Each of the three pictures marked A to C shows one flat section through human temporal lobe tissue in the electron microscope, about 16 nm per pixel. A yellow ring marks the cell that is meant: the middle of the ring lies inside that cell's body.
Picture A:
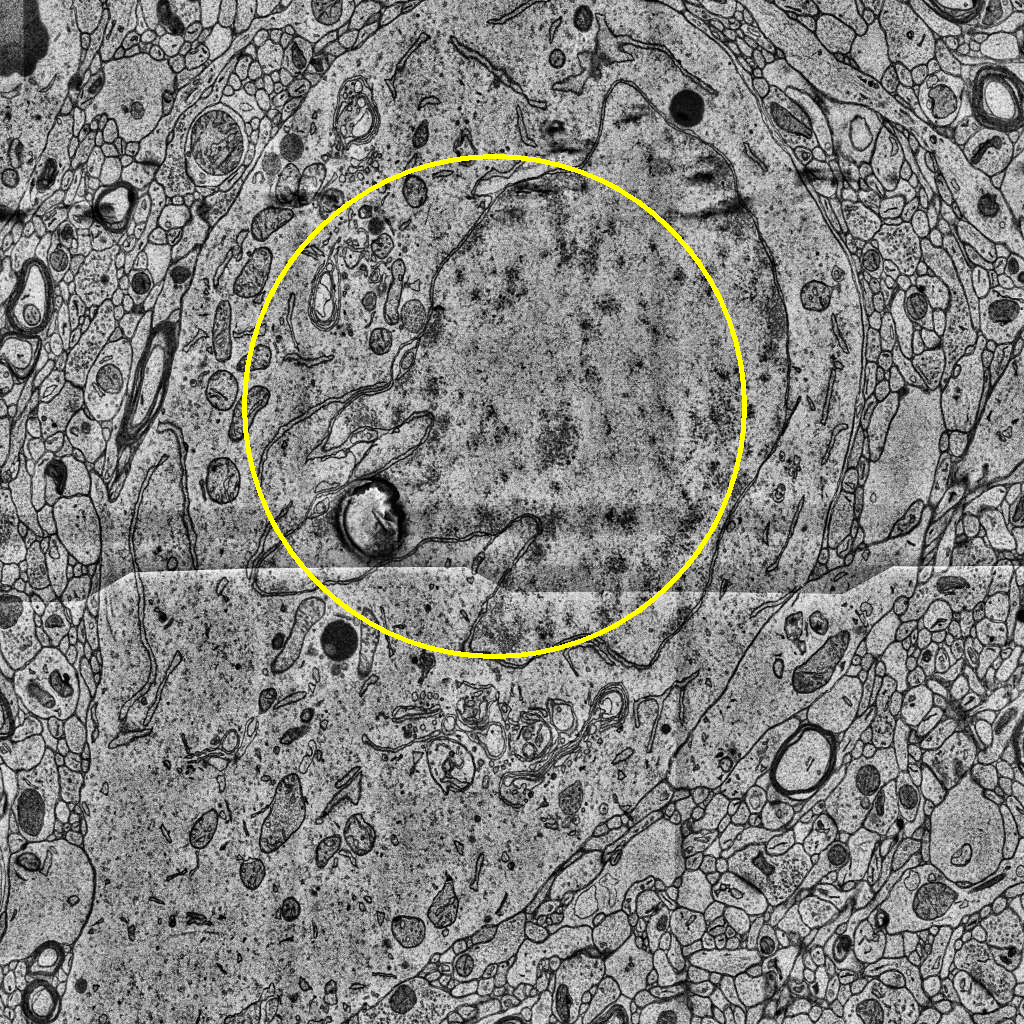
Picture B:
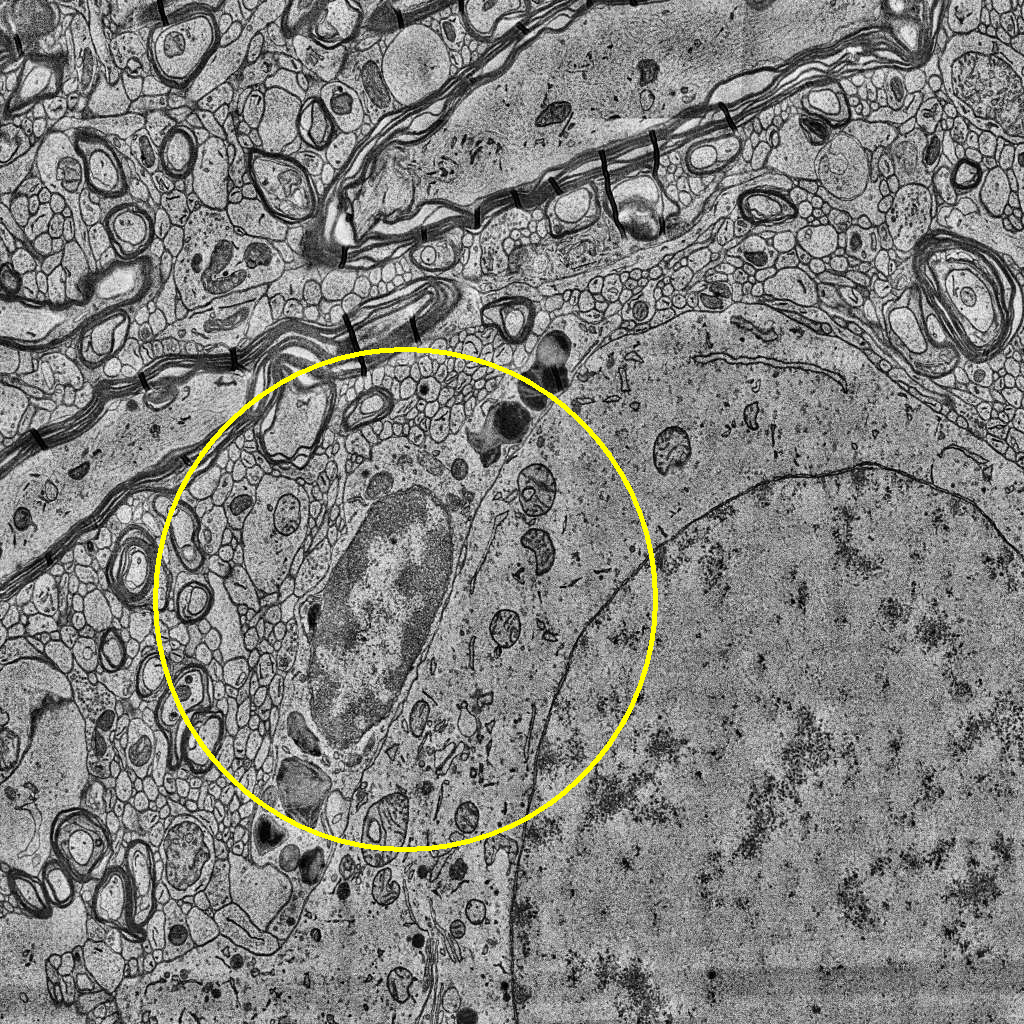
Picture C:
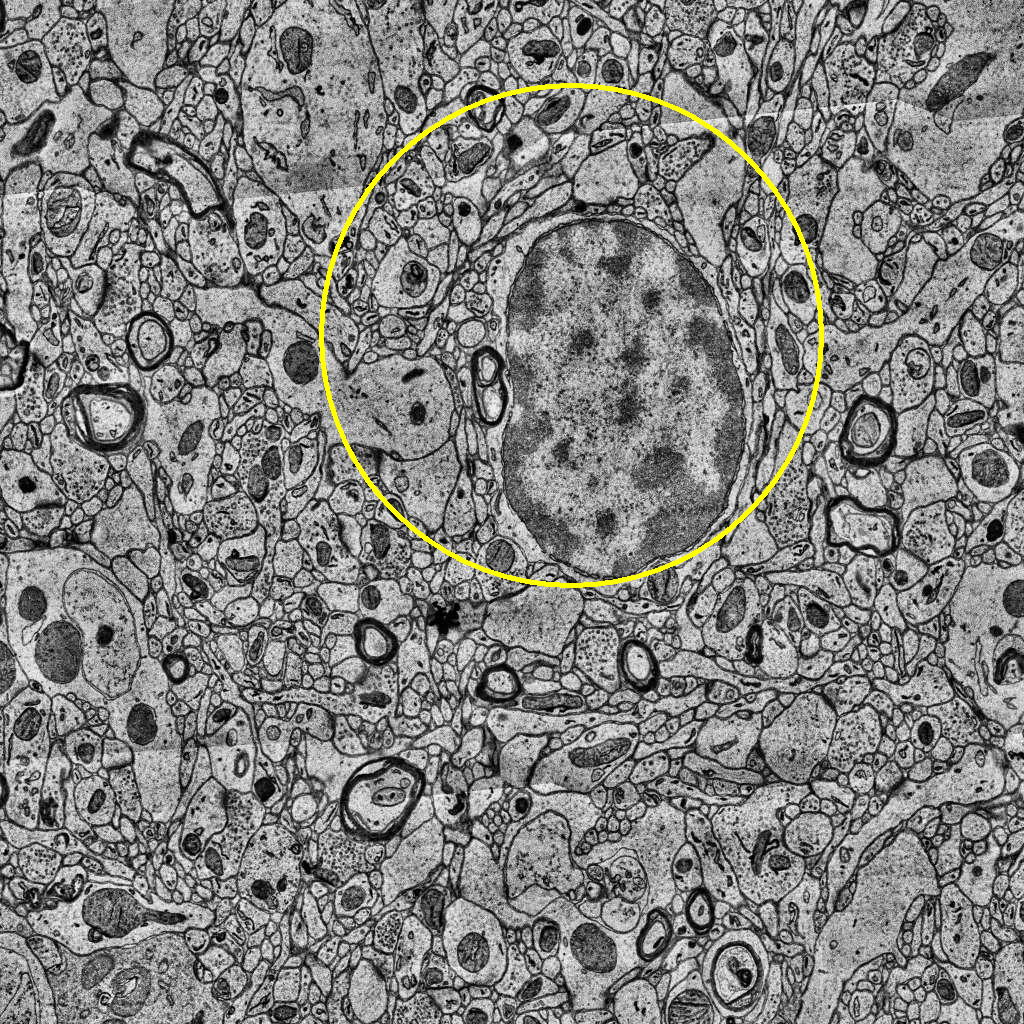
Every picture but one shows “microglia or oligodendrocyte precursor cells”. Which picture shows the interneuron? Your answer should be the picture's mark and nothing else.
A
